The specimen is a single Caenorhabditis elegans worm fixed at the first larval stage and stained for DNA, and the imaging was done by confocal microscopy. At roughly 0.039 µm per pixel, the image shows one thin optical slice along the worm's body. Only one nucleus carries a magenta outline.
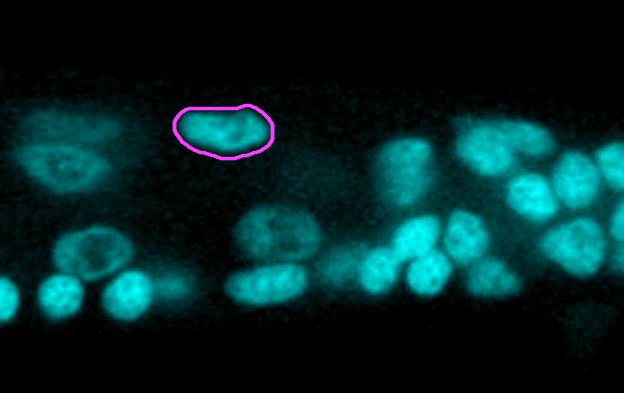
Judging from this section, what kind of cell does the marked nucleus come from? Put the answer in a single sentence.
The nucleus comes from a body wall muscle cell.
